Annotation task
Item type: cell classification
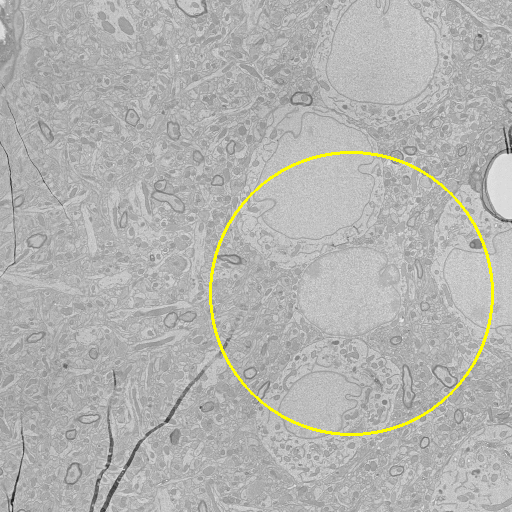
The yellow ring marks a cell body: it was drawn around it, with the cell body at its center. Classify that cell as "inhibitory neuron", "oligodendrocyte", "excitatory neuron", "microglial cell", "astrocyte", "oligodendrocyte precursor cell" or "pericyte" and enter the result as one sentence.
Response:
The ring's center falls on an astrocyte.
